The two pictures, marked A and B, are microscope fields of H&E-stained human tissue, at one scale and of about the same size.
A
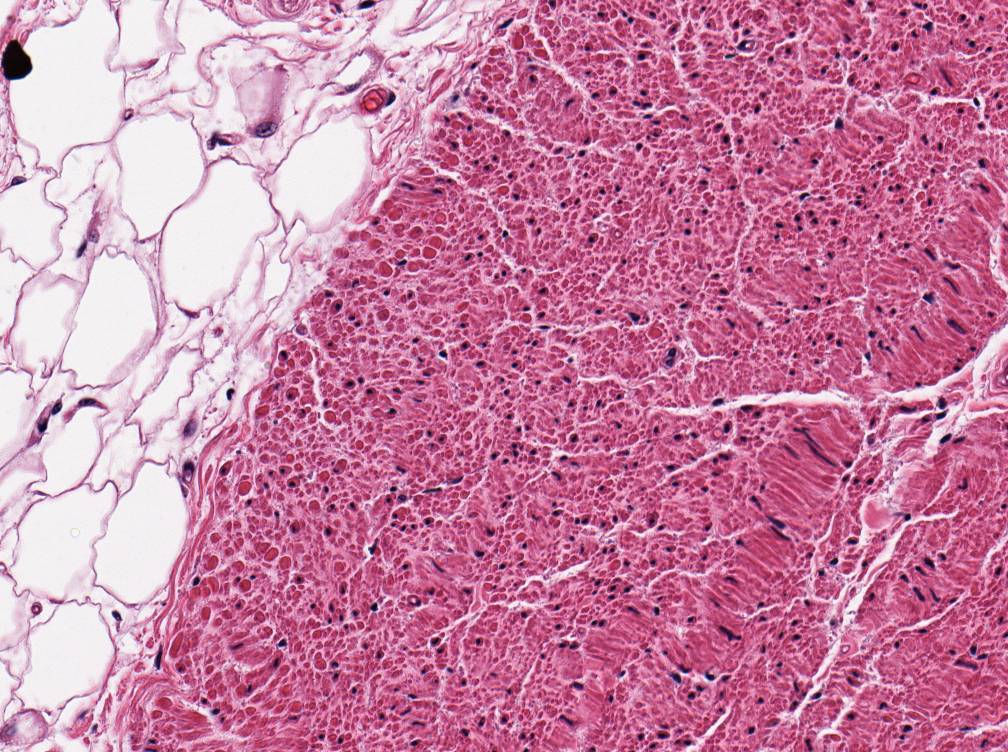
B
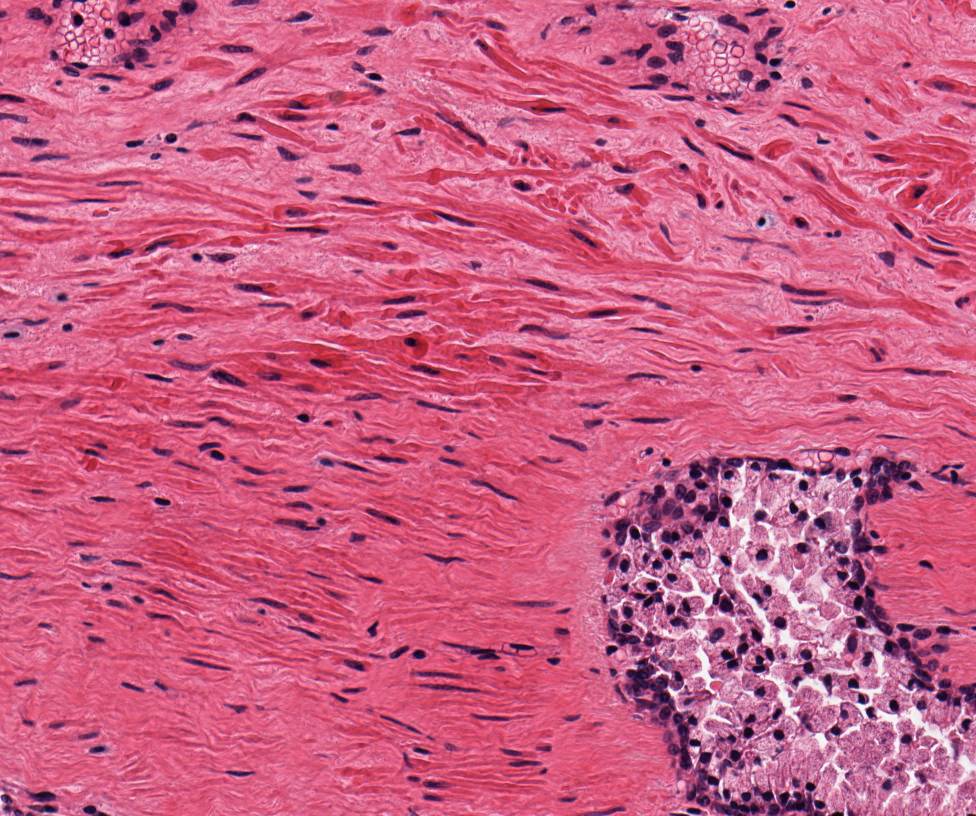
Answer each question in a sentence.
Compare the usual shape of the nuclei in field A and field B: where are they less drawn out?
Rounder nuclei lie in field A.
